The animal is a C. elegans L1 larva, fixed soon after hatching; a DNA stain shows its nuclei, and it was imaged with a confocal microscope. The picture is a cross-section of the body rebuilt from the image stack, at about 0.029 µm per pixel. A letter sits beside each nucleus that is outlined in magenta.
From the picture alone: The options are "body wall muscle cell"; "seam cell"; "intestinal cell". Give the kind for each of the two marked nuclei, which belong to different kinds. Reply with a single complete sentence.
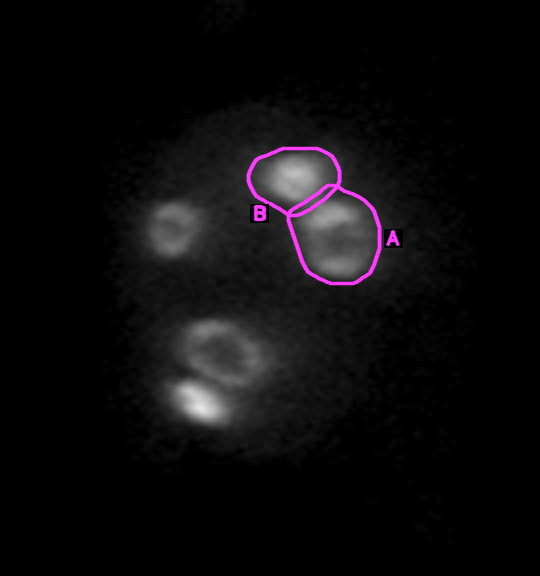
A is from a seam cell, and B is from a body wall muscle cell.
